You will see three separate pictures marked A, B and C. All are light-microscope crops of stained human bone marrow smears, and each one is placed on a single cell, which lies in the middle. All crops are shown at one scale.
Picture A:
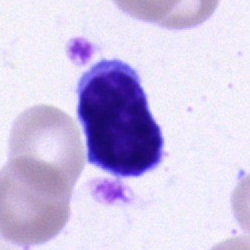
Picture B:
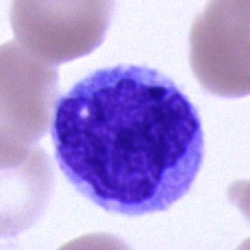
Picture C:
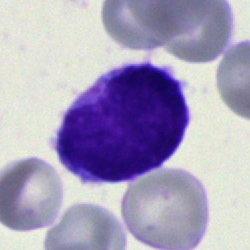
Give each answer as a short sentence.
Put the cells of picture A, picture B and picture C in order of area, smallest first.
Smallest first: A, C, B.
